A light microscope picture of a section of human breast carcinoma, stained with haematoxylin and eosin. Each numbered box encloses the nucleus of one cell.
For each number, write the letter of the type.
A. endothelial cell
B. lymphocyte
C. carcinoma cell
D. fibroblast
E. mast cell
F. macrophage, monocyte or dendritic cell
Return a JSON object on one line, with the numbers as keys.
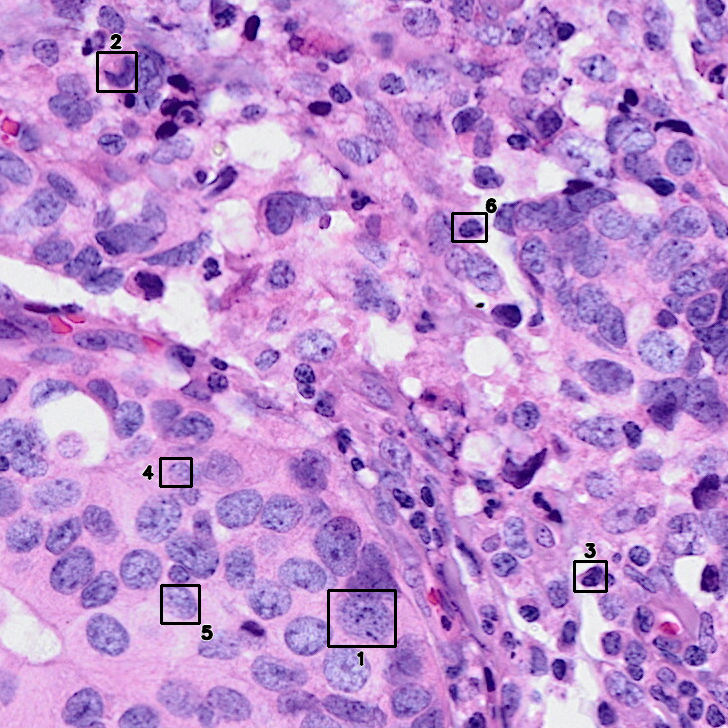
{"1": "C", "2": "C", "3": "B", "4": "C", "5": "C", "6": "B"}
